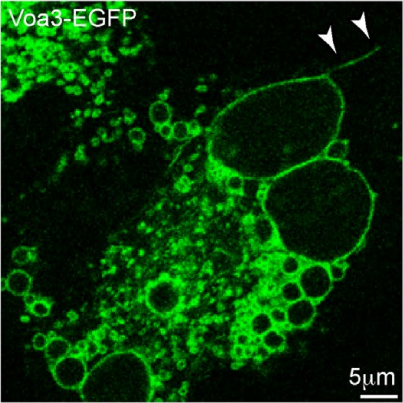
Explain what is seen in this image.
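This cell is packed with membrane-bound vacuoles of many sizes, from small rings to a few very large round ones several micrometres across. Each vacuole shows as a bright green rim around a dark, empty interior, so the label sits on the limiting membranes. From the edge of one of the largest vacuoles a thin, straight green tubule runs outward toward the upper right, pointed out by the arrowheads.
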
